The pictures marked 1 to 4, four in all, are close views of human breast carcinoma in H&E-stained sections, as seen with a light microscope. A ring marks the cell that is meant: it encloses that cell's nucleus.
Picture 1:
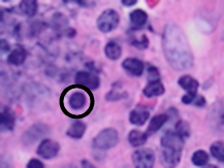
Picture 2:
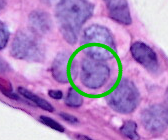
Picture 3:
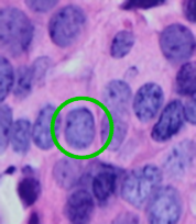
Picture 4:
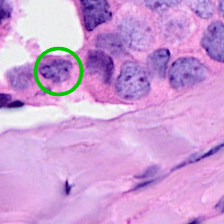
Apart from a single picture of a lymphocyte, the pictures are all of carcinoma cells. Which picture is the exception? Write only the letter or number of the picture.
1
